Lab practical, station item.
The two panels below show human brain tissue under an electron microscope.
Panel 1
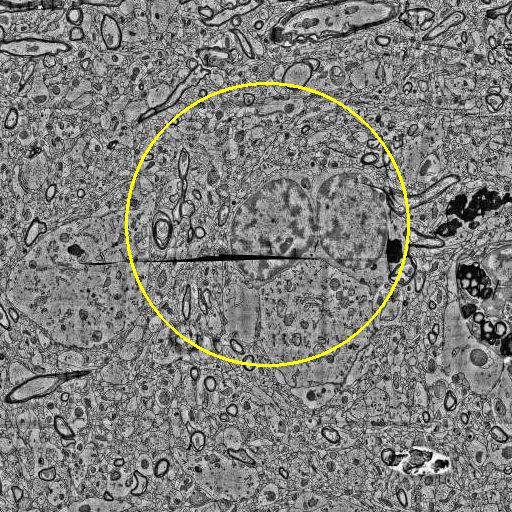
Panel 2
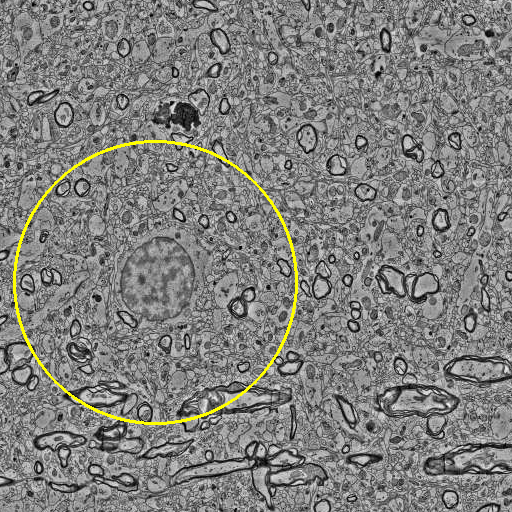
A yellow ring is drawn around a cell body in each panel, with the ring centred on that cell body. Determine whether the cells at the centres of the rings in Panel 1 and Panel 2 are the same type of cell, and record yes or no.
yes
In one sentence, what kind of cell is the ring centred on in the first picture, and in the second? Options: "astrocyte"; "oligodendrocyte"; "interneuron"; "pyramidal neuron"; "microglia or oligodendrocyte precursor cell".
Both rings mark an oligodendrocyte, one in each picture.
